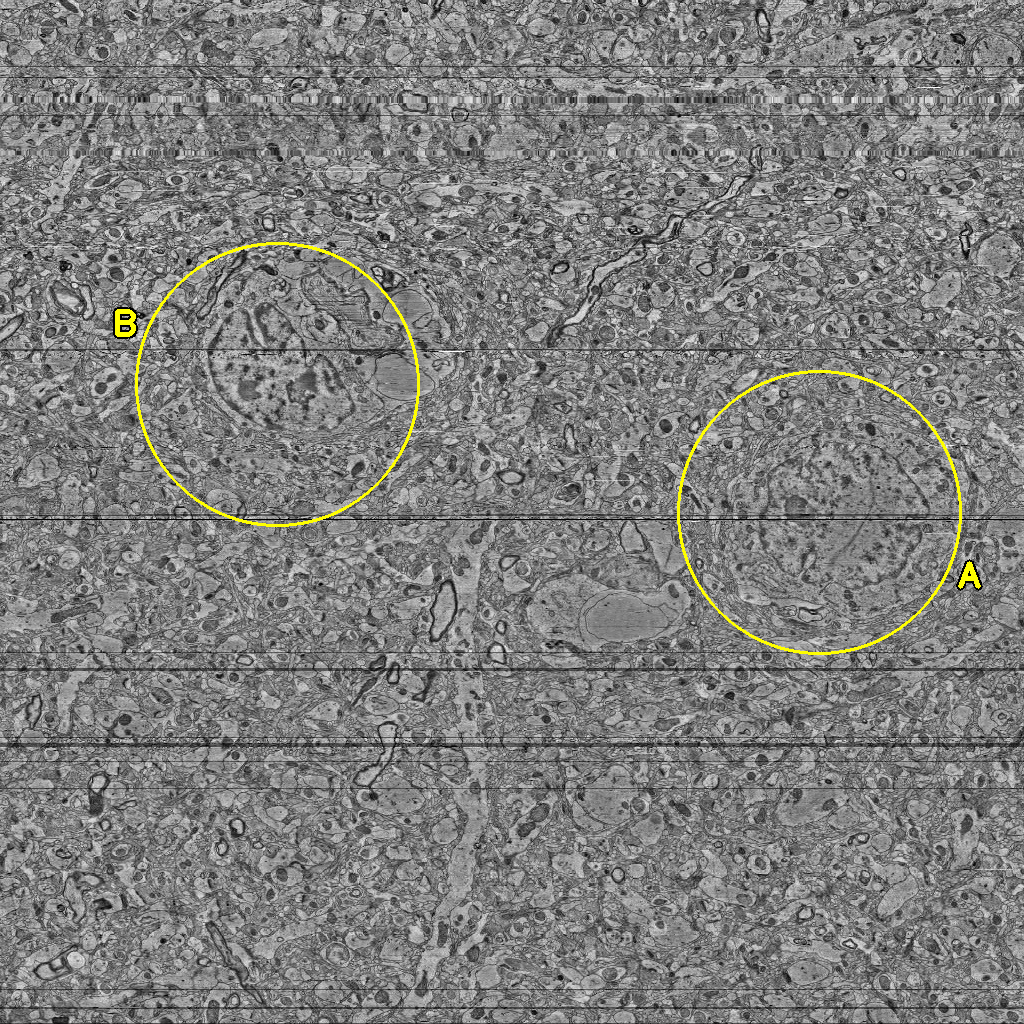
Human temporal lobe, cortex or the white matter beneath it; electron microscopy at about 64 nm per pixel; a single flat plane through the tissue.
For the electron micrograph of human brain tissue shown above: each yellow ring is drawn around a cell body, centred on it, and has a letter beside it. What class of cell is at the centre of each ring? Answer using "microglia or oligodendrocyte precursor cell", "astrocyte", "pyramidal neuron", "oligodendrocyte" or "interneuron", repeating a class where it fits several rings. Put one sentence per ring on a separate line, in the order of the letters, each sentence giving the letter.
At ring A, the central cell is an interneuron.
At ring B, the central cell is a microglial cell or oligodendrocyte precursor cell.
